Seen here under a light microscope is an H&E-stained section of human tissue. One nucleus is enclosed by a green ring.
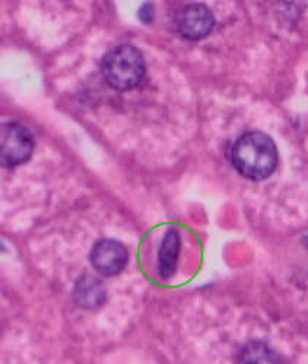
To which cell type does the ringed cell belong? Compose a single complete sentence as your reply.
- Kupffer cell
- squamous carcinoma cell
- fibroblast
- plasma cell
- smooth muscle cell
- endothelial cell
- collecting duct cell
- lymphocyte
Microscopically, the ringed cell is categorized as a Kupffer cell.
